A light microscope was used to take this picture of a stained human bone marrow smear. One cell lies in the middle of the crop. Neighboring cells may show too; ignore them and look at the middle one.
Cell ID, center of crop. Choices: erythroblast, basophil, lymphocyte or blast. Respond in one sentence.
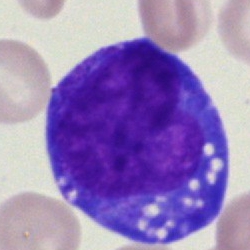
The cell centred in this crop is categorized as a blast.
